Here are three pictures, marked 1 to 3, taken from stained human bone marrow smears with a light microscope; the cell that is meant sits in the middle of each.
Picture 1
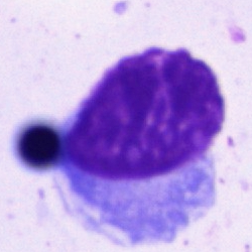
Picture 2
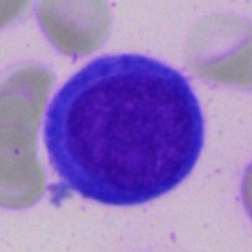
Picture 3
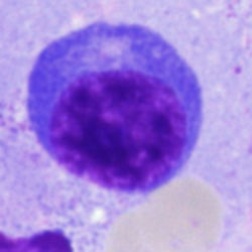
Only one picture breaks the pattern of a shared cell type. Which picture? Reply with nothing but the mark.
2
